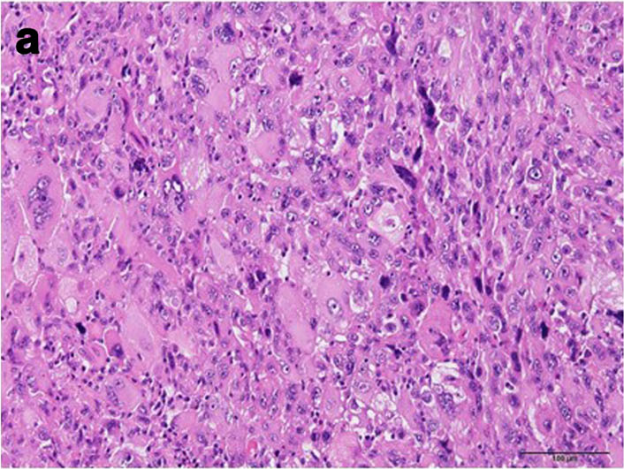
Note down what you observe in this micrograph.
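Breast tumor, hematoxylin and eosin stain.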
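Many cells have abundant pink cytoplasm and large nuclei with vesicular chromatin and prominent nucleoli. Scattered among them are bizarre cells with very dark, enlarged, irregular nuclei and some multinucleated giant cells. The cells lie loosely, without glandular arrangement.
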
